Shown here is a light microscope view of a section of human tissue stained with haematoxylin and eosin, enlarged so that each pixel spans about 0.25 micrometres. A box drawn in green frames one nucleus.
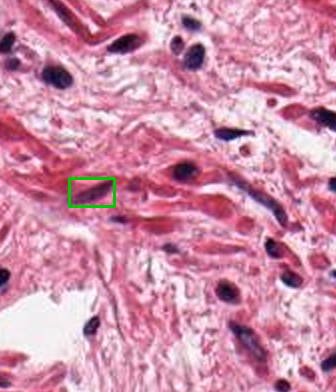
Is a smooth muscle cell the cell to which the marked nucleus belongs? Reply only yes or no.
yes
